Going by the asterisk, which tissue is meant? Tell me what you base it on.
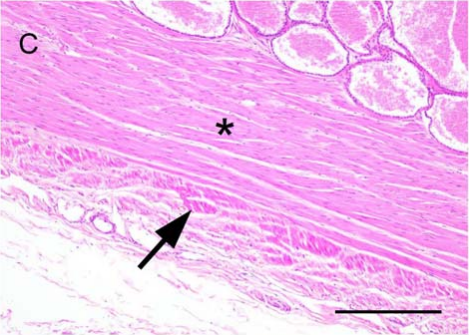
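The asterisk lies on bundles of long, pink, spindle-shaped fibres. The fibres run in parallel bands.
Hence: smooth muscle layer.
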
